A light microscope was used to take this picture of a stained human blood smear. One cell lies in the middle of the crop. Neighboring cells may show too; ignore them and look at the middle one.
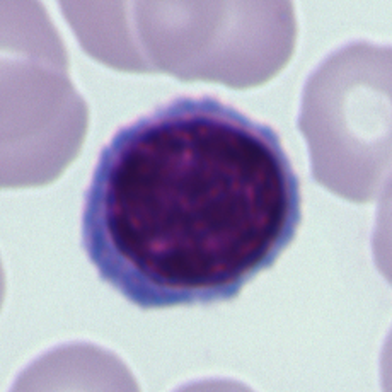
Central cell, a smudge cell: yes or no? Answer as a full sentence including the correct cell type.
No, the cell occupying the centre is a typical lymphocyte, not a smudge cell.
